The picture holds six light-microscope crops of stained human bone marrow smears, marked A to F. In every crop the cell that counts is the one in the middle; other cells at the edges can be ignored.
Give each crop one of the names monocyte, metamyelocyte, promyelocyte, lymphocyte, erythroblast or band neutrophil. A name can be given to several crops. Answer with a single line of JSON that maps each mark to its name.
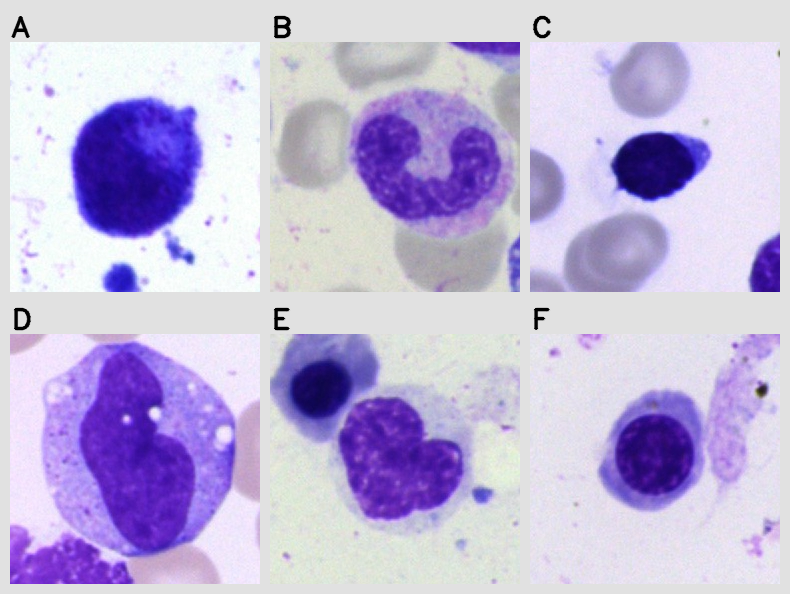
{"A": "promyelocyte", "B": "band neutrophil", "C": "lymphocyte", "D": "monocyte", "E": "metamyelocyte", "F": "erythroblast"}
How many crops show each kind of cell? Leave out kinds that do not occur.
promyelocyte: 1
band neutrophil: 1
lymphocyte: 1
monocyte: 1
metamyelocyte: 1
erythroblast: 1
